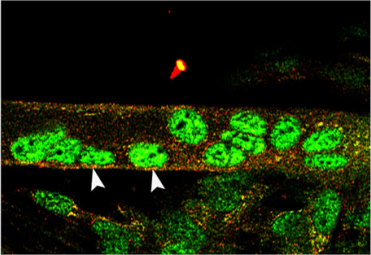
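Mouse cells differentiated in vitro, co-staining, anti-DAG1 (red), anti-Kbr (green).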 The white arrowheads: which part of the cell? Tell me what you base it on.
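Sarcolemma. The arrowheads point at the lower edge of a long multinucleated cell. A thin yellow-orange line runs along that cell border.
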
